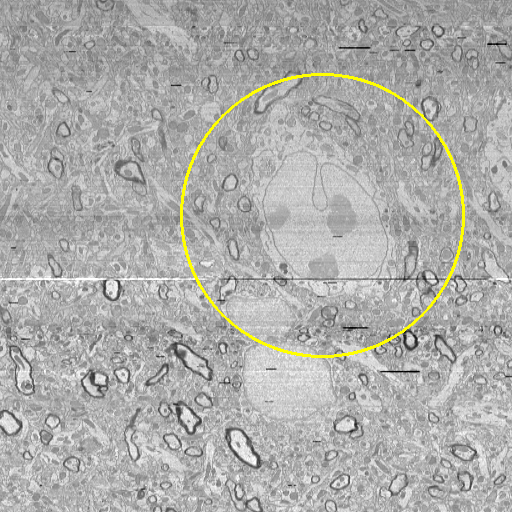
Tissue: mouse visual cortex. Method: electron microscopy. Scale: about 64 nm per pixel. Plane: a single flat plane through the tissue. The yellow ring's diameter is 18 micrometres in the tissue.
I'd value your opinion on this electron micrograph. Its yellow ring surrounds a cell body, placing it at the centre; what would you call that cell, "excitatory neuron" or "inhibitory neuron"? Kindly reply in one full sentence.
It is an excitatory neuron that sits centred within the yellow ring in this micrograph.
